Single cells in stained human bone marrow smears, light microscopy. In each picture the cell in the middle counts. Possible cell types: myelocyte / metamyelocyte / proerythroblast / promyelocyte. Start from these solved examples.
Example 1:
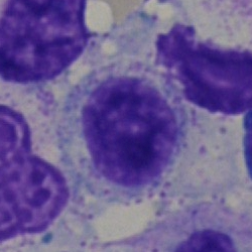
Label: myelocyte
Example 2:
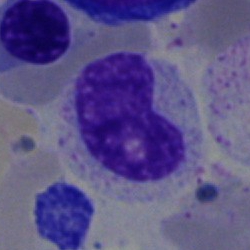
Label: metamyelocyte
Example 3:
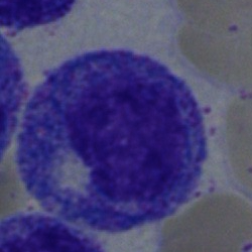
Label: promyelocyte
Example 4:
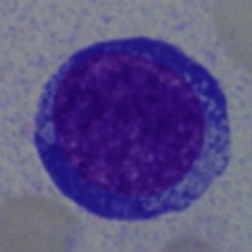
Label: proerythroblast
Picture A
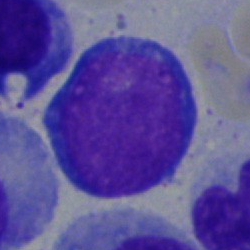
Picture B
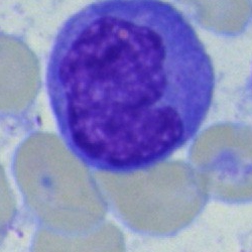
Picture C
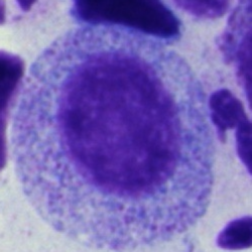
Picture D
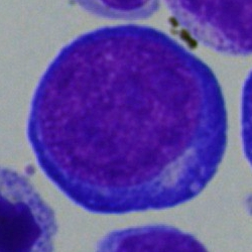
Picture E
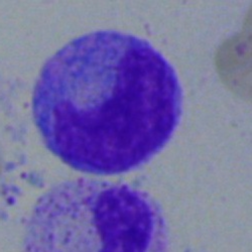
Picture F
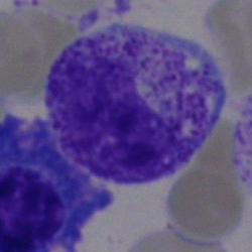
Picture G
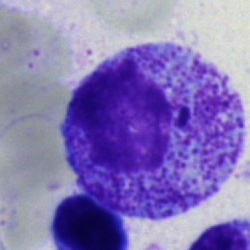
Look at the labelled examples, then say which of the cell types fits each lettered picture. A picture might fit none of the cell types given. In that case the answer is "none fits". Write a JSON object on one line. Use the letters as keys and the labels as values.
{"A": "proerythroblast", "B": "none fits", "C": "promyelocyte", "D": "proerythroblast", "E": "metamyelocyte", "F": "myelocyte", "G": "myelocyte"}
